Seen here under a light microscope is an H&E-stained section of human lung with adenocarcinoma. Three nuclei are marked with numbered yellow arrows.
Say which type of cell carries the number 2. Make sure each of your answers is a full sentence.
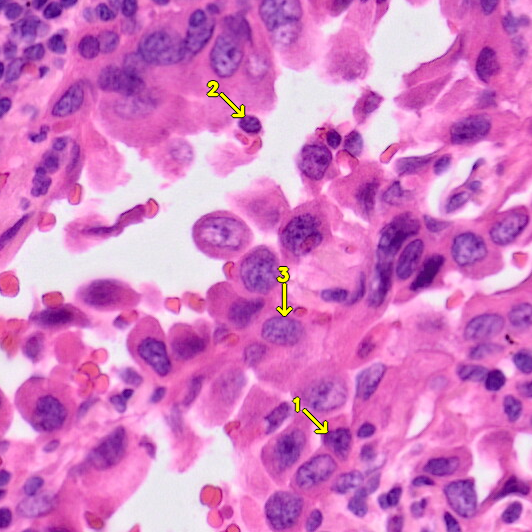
The numeral 2 marks a lymphocyte in this section.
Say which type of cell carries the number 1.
Corresponding to a carcinoma cell is the cell labelled 1.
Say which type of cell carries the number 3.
Within this field of view, the cell labelled 3 is a carcinoma cell.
